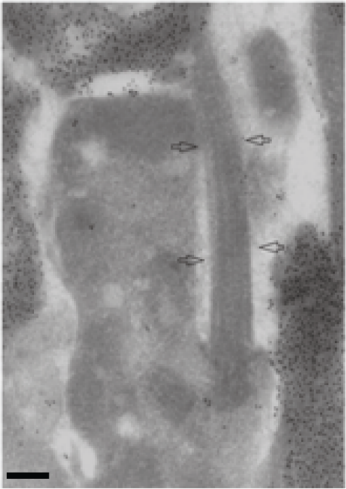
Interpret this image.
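This is an electron micrograph of a photoreceptor showing its connecting cilium, a long slender rod with parallel edges that runs vertically through the image, marked on both sides by arrows. Around it lie rounded, moderately dense profiles of the cell's cytoplasm and pale spaces. Fine black gold particles are sparse along the cilium itself, whereas dense clusters of particles sit over the dark, heavily labelled membranous regions at the right edge and the top, which correspond to outer segment material.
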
